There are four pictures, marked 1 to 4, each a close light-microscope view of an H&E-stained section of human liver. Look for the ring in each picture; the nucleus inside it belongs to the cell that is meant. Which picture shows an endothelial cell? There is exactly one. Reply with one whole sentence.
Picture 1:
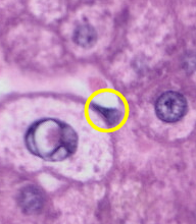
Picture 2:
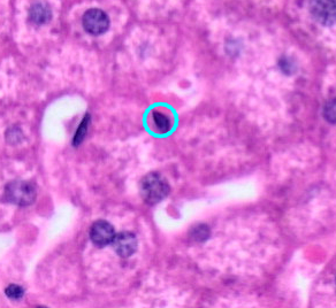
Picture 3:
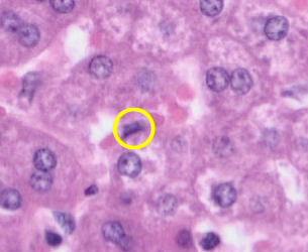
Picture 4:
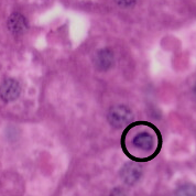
The picture with the endothelial cell is 1.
